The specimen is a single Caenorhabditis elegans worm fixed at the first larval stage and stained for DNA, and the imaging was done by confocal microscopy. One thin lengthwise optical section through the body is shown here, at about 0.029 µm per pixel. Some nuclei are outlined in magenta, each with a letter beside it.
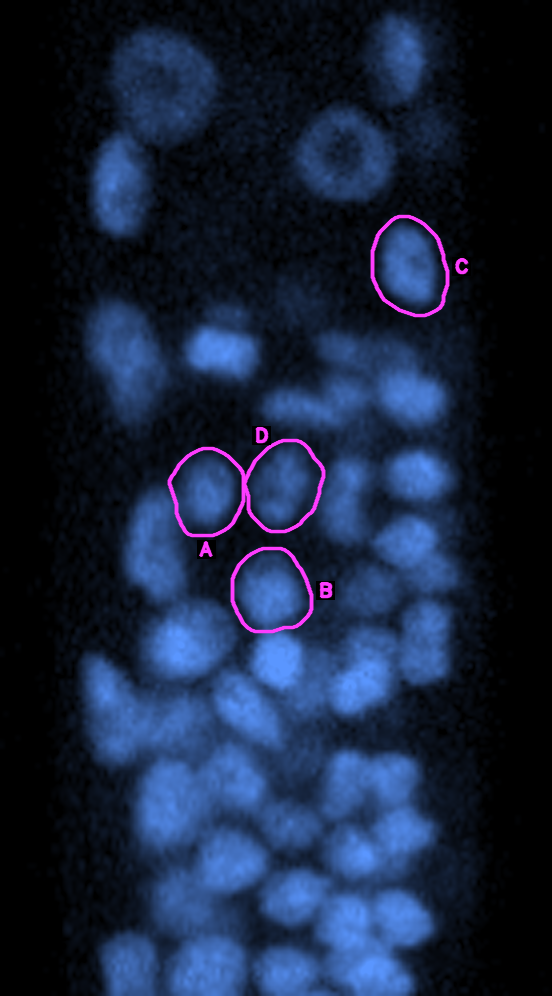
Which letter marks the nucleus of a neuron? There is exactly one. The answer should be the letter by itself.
B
